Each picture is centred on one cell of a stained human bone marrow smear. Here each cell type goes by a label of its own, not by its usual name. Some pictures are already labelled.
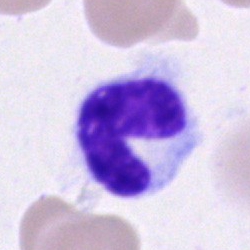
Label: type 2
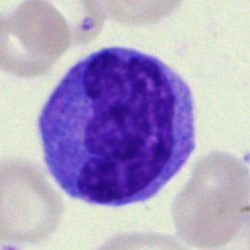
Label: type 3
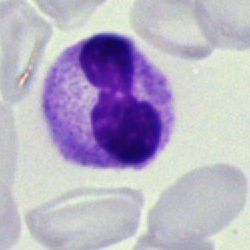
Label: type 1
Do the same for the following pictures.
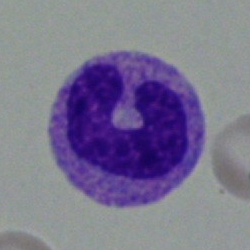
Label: type 2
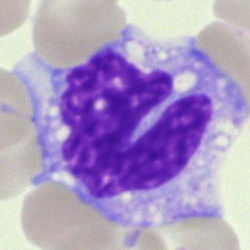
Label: type 3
